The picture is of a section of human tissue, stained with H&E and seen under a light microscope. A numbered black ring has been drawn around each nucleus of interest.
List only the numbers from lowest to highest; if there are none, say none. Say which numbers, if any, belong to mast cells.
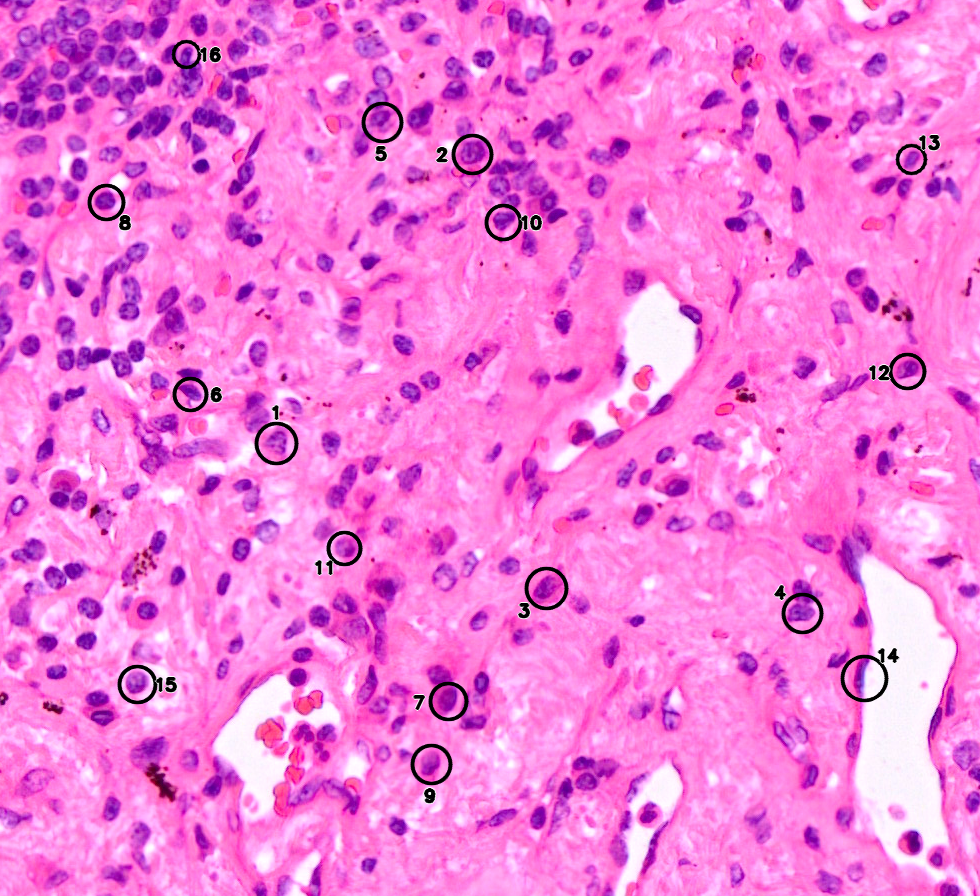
13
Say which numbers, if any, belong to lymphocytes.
4, 6, 8, 10, 15, 16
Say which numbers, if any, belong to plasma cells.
1, 2, 3, 5, 7, 9, 11, 12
